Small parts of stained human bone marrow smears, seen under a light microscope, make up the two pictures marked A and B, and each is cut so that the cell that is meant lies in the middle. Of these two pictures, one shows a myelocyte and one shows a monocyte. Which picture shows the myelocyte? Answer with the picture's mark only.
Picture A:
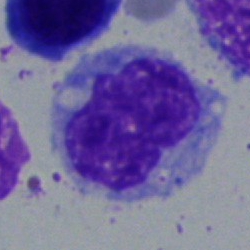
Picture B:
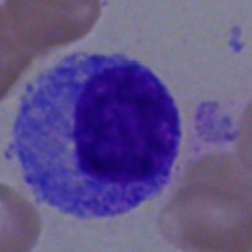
B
